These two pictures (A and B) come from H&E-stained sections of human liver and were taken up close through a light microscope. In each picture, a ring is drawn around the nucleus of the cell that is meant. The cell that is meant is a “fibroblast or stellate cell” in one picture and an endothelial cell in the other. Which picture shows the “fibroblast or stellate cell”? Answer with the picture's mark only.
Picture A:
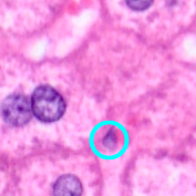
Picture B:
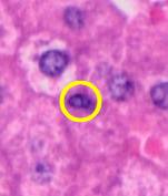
B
